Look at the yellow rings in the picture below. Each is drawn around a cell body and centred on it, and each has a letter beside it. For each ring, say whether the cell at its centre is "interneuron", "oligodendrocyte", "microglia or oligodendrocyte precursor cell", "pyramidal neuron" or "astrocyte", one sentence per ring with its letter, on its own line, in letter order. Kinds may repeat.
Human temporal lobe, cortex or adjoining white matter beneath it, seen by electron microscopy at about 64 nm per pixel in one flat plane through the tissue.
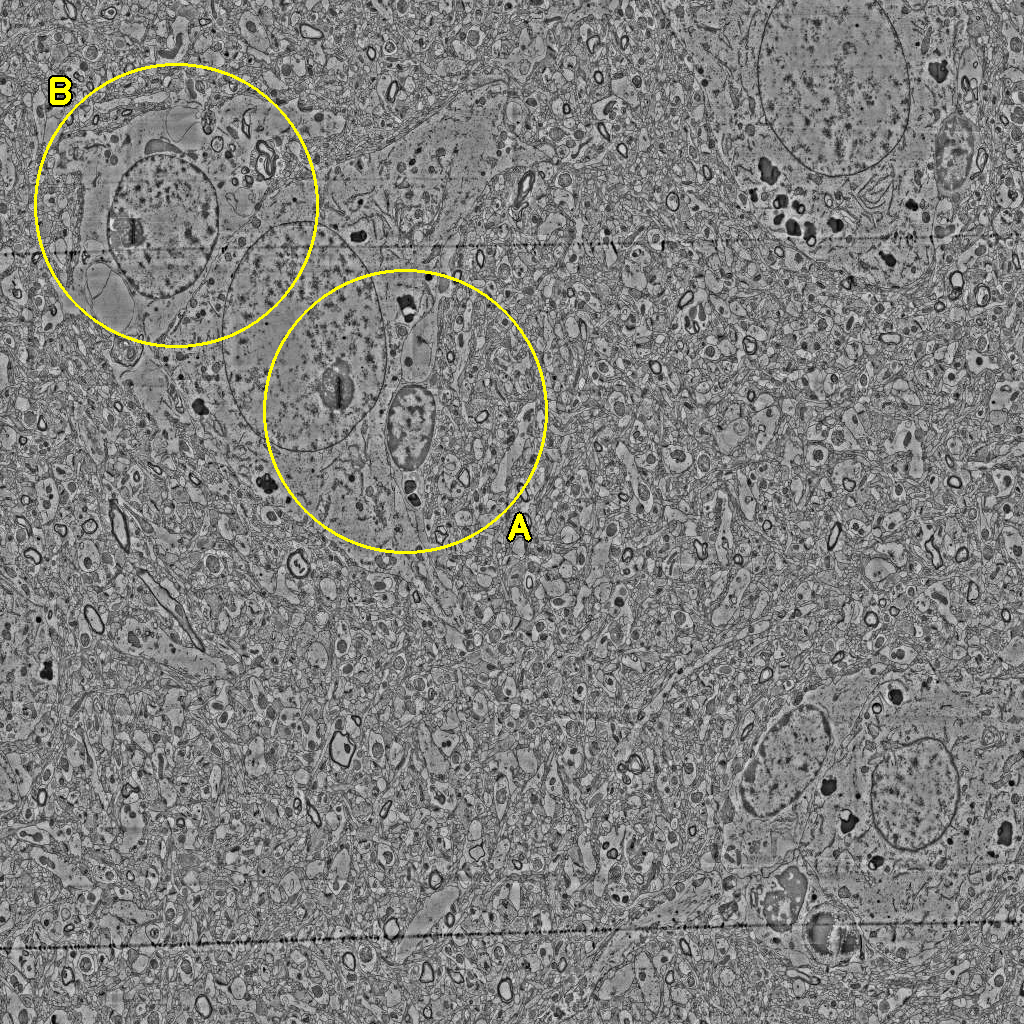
The centred cell of ring A is a microglial cell or oligodendrocyte precursor cell.
The centred cell of ring B is an astrocyte.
